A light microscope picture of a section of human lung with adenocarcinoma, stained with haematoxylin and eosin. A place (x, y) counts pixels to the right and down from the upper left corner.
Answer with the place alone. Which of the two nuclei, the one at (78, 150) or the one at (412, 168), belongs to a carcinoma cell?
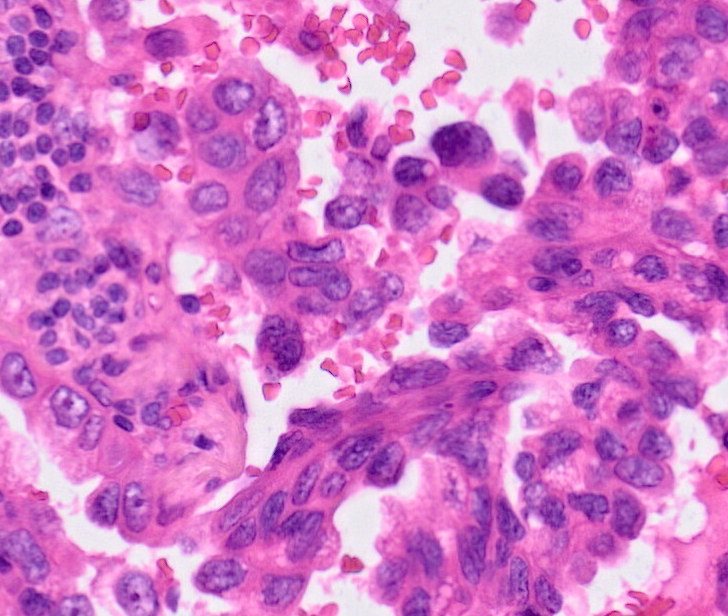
(412, 168)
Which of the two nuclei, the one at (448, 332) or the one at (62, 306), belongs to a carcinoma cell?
(448, 332)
